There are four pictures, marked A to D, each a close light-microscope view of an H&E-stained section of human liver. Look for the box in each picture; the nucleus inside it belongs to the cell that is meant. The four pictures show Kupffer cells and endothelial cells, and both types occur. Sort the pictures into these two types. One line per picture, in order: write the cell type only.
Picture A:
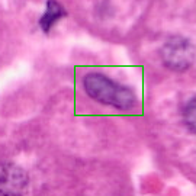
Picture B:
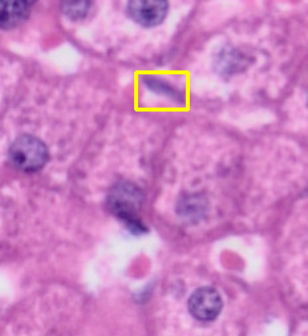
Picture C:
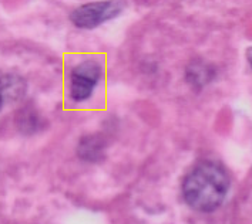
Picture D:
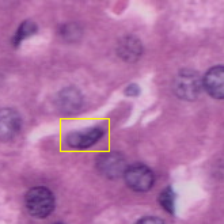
Kupffer cell
Kupffer cell
endothelial cell
Kupffer cell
